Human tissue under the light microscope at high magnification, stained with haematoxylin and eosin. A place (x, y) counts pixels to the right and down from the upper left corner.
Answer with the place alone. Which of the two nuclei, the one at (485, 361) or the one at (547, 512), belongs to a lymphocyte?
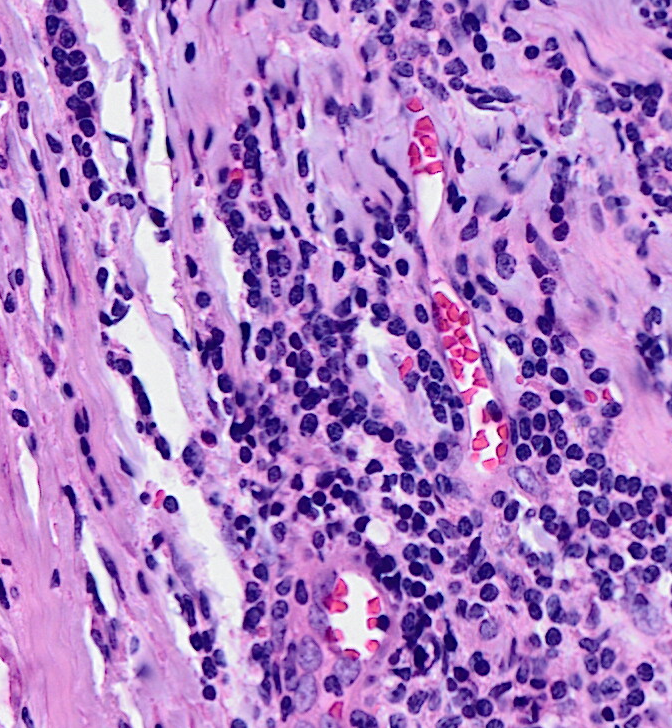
(547, 512)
